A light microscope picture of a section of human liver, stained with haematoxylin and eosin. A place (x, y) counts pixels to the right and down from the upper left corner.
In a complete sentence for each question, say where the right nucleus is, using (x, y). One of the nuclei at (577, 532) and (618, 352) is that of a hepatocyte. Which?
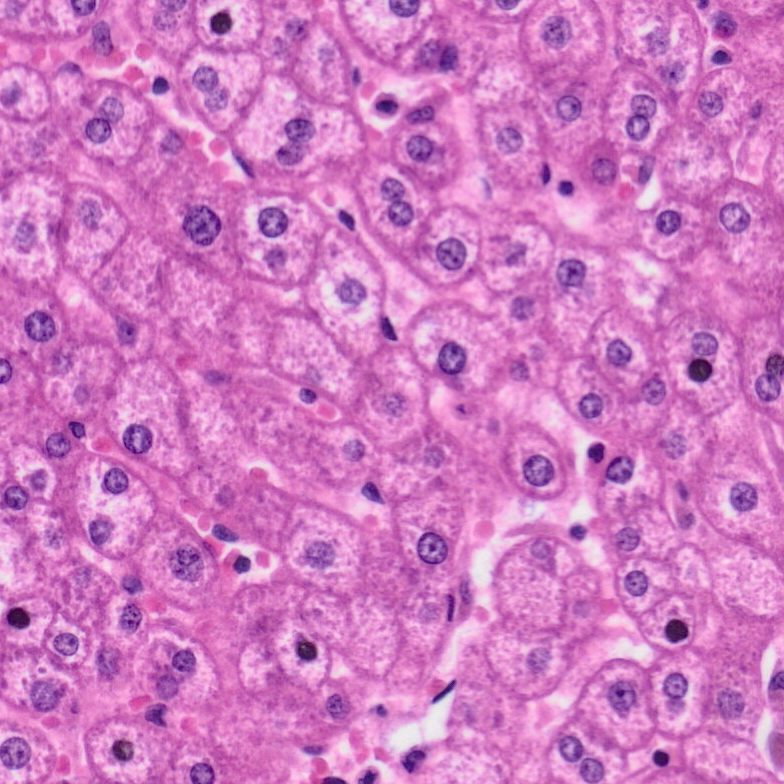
Of the two nuclei, the one sitting at (618, 352) belongs to a hepatocyte.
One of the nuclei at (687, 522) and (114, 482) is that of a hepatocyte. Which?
Lying within a hepatocyte is the nucleus at (114, 482).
